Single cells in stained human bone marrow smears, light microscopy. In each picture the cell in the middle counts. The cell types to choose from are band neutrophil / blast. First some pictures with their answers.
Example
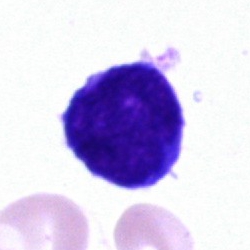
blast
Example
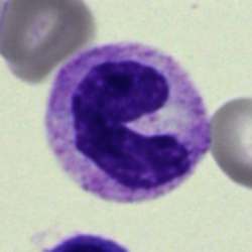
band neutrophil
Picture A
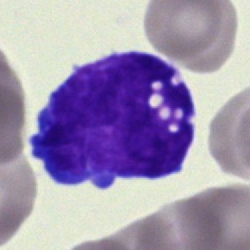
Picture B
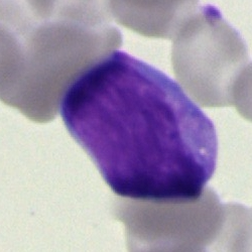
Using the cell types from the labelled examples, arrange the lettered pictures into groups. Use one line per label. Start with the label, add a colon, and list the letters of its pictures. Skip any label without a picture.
blast: A, B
